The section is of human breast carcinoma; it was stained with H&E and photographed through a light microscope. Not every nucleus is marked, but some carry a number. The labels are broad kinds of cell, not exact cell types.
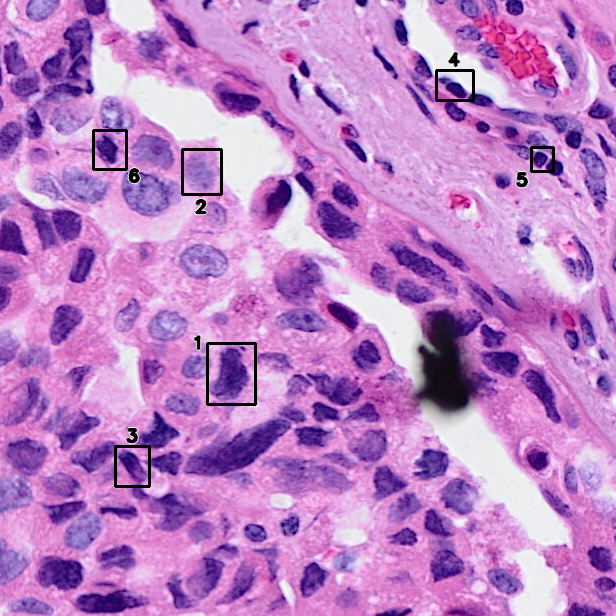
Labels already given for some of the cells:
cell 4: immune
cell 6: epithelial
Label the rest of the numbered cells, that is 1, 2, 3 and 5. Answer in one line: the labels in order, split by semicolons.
epithelial; epithelial; epithelial; immune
